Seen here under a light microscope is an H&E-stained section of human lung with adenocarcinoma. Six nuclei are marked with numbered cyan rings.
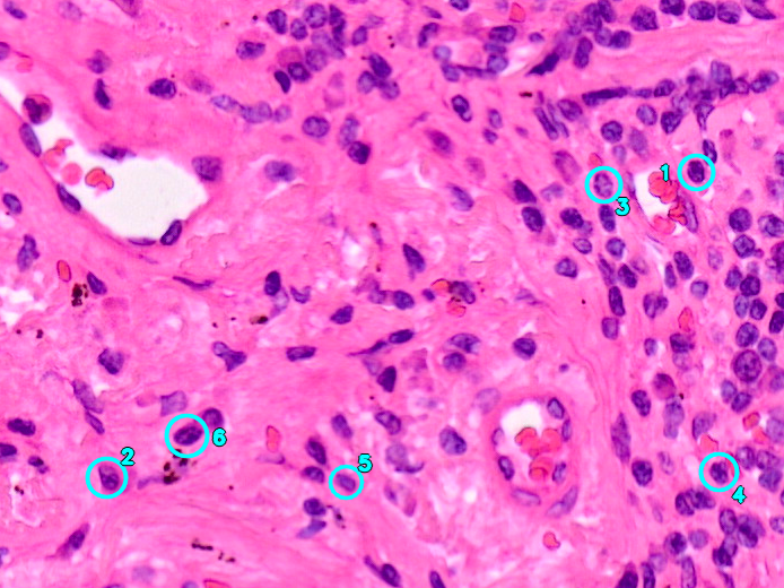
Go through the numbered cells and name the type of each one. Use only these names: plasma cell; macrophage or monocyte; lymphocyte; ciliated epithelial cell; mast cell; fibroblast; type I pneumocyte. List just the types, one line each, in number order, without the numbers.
lymphocyte
plasma cell
lymphocyte
lymphocyte
mast cell
plasma cell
